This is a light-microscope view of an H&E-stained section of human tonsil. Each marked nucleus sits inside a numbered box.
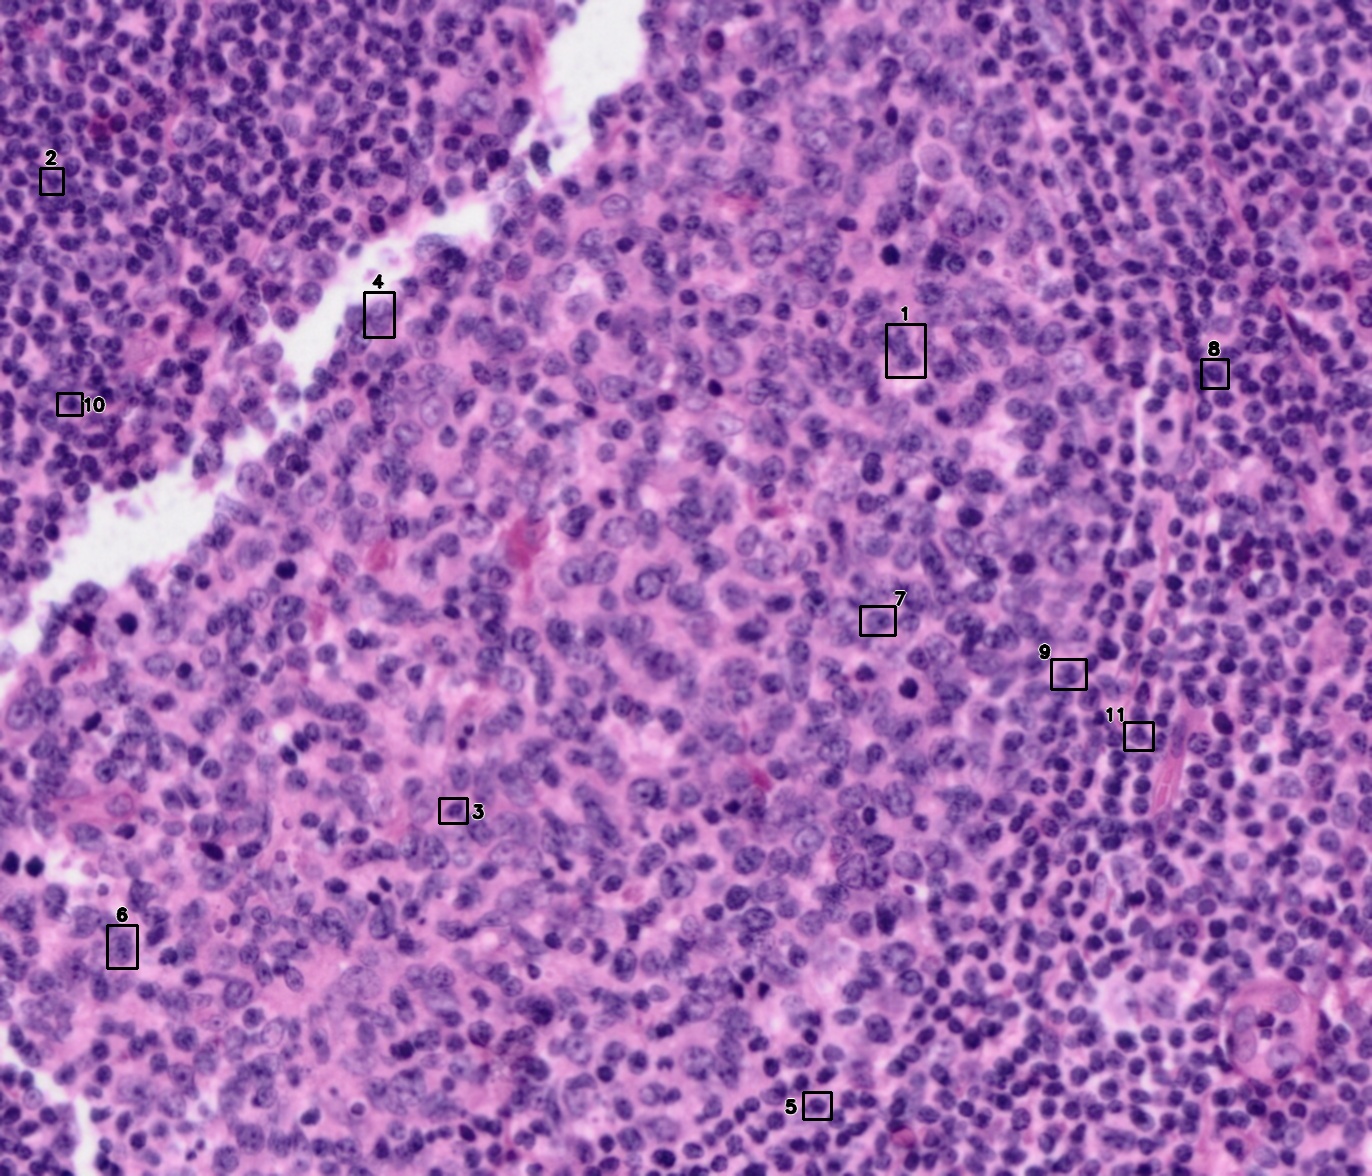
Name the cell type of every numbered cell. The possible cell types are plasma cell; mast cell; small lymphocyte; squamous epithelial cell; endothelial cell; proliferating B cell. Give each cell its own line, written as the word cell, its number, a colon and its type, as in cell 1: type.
cell 1: proliferating B cell
cell 2: small lymphocyte
cell 3: proliferating B cell
cell 4: proliferating B cell
cell 5: small lymphocyte
cell 6: proliferating B cell
cell 7: proliferating B cell
cell 8: small lymphocyte
cell 9: proliferating B cell
cell 10: small lymphocyte
cell 11: small lymphocyte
